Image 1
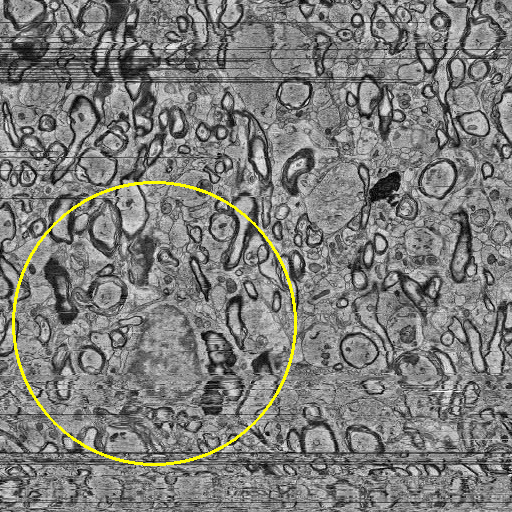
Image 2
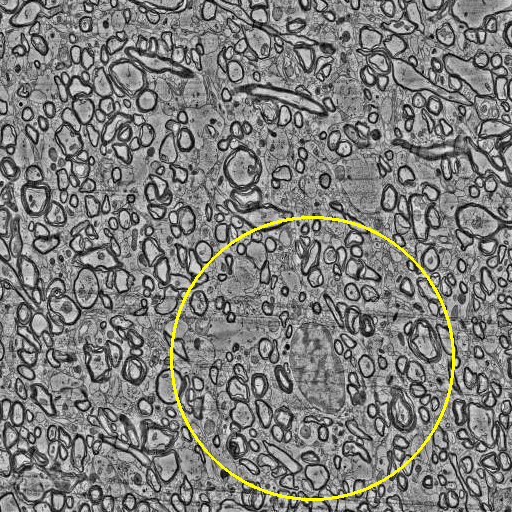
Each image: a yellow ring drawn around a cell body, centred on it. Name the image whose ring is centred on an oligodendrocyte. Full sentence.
That is Image 1.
